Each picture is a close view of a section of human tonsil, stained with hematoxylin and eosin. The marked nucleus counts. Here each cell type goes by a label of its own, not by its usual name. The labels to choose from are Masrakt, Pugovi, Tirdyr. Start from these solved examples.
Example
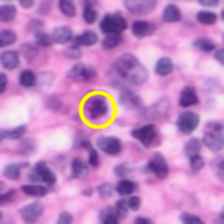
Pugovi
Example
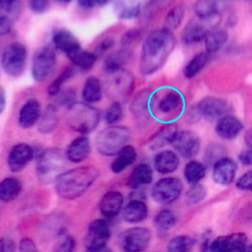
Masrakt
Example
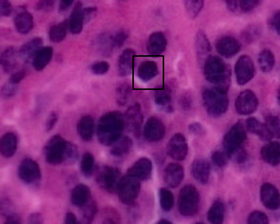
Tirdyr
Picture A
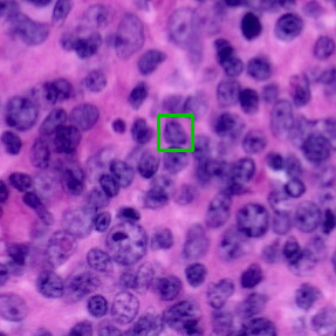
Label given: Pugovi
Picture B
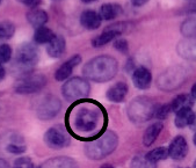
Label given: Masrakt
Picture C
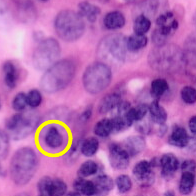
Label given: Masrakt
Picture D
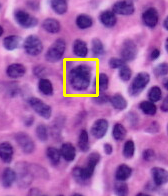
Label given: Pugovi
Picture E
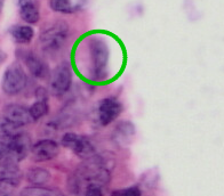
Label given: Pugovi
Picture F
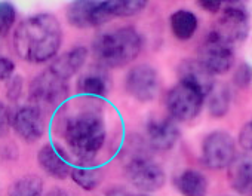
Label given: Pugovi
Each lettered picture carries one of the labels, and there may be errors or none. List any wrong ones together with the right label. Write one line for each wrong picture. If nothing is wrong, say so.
All correct.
